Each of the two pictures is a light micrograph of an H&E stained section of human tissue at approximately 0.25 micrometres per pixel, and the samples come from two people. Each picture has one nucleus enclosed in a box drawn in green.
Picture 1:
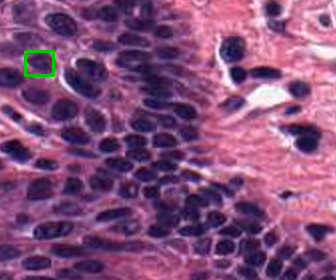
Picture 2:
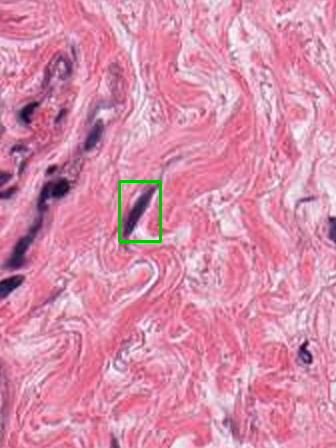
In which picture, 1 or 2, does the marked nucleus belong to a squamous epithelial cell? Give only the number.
1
